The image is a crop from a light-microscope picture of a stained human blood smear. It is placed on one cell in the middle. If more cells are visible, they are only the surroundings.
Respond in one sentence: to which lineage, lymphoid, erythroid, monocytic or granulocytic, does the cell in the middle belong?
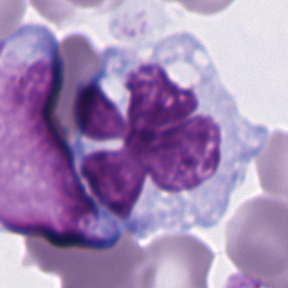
The cell located at the center of the crop is monocytic by lineage.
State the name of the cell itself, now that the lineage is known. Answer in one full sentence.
As for the central cell, it is a monocyte.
